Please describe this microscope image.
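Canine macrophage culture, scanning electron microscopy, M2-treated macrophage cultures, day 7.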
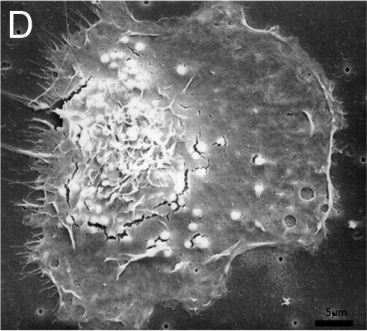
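The central part is raised and covered with many short surface projections, with small round blebs scattered over it. Fine cracks run through the flattened cytoplasm, and the surrounding substrate shows small dark pores.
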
